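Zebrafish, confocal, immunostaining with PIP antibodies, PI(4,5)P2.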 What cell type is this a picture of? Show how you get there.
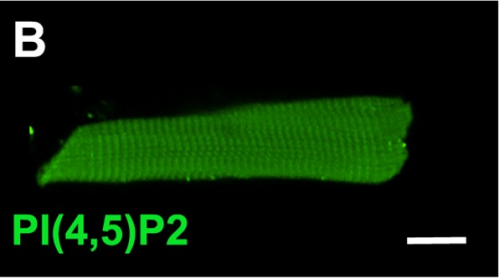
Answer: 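Myofibers. A single isolated elongated cell with blunt ends. Fine regular cross-striations run throughout the cell.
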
